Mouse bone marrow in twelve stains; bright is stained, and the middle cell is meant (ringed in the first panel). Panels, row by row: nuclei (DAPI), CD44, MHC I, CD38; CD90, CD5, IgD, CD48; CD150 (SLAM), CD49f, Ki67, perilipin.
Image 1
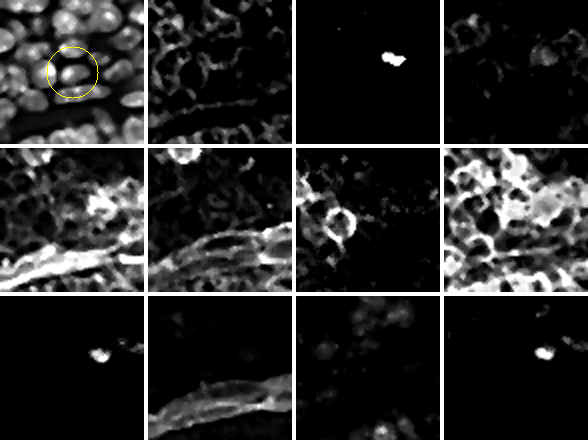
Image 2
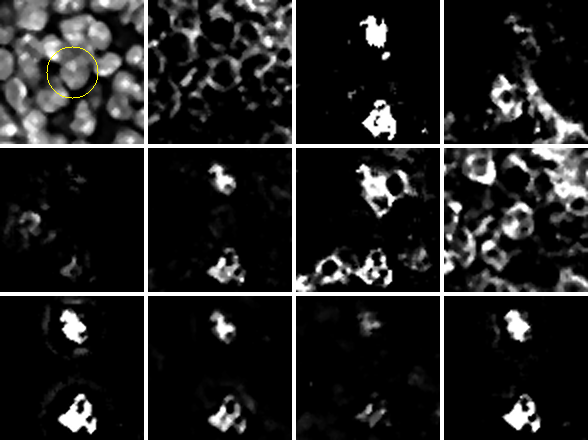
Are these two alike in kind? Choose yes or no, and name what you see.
Yes. Monocytes.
